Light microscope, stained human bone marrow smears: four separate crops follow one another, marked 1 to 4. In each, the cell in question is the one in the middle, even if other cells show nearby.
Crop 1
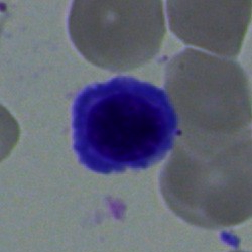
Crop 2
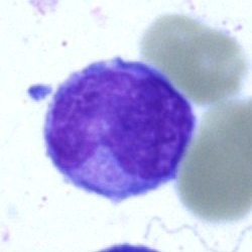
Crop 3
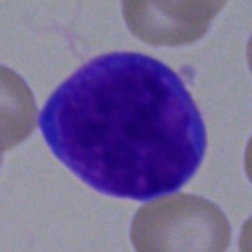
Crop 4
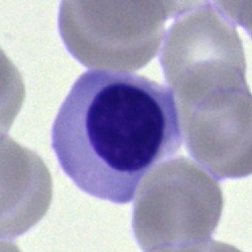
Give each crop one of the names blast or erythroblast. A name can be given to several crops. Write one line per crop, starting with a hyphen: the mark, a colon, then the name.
- 1: erythroblast
- 2: blast
- 3: blast
- 4: erythroblast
